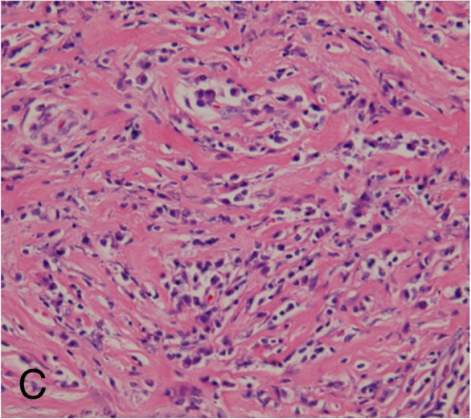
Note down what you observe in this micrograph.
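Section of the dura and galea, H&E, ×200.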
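Thick pink collagen bundles wind in swirls, with elongated spindle-shaped nuclei lying along them. Between the bundles many small round cells crowd, some with dark round nuclei and scant cytoplasm, others with an eccentric nucleus and a rim of pink cytoplasm. This is a fibrous inflammatory infiltrate made mainly of lymphocytes and plasma cells set in a storiform fibrous background.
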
